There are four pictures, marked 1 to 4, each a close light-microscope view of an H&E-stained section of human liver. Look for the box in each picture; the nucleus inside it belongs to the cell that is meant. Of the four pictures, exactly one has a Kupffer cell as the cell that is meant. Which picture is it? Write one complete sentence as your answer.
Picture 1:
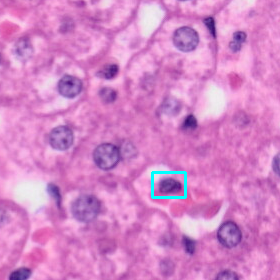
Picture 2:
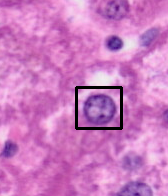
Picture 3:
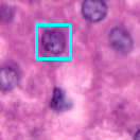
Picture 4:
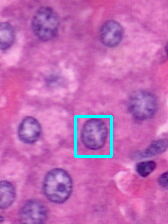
The Kupffer cell is the one in picture 1.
